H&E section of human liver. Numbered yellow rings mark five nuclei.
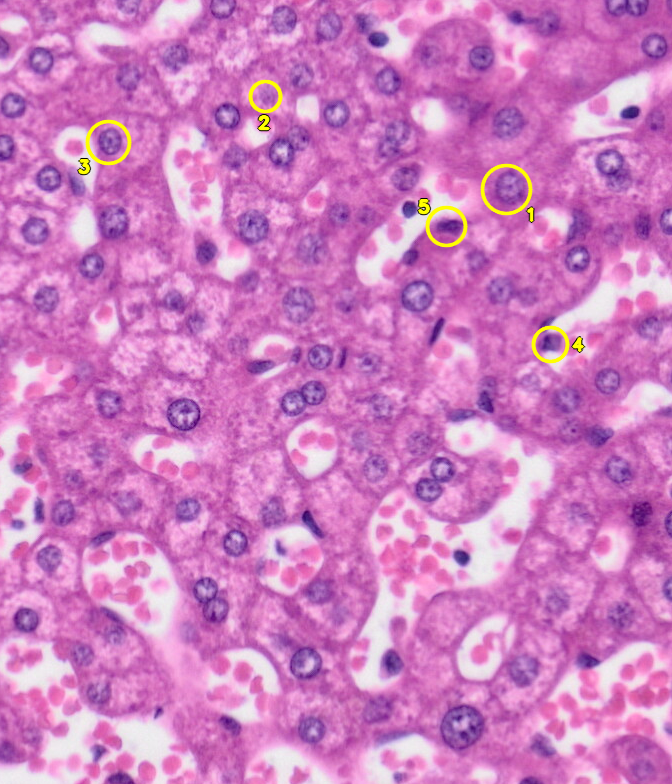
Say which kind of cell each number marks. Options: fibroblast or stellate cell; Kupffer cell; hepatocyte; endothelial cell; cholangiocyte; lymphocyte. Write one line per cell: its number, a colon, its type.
1: hepatocyte
2: hepatocyte
3: hepatocyte
4: Kupffer cell
5: fibroblast or stellate cell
